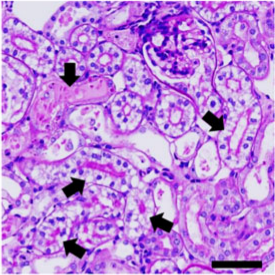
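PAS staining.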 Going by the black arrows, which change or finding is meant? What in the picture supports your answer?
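The arrowed tubules have pale, vacuolated epithelial cells. Pink material and detached cells lie in some tubular lumens.
Hence: vacuolar degeneration and necrosis.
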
